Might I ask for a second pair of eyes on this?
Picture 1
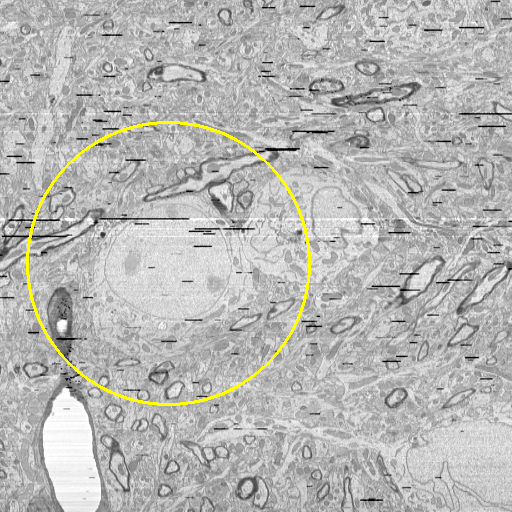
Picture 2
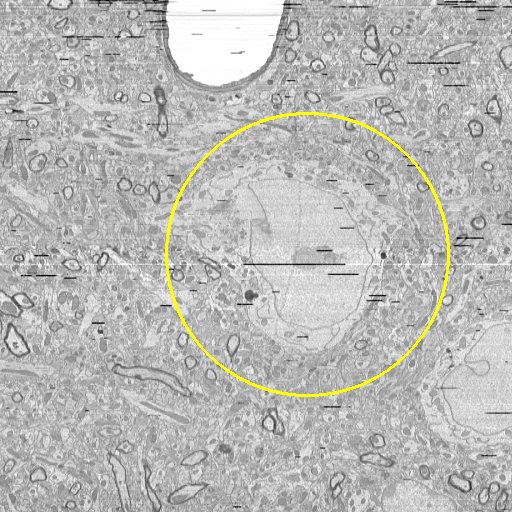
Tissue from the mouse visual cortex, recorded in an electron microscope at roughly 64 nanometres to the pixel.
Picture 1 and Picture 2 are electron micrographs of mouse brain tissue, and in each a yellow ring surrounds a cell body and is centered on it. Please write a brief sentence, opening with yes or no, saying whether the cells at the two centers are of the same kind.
Yes, the cells are of the same kind.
